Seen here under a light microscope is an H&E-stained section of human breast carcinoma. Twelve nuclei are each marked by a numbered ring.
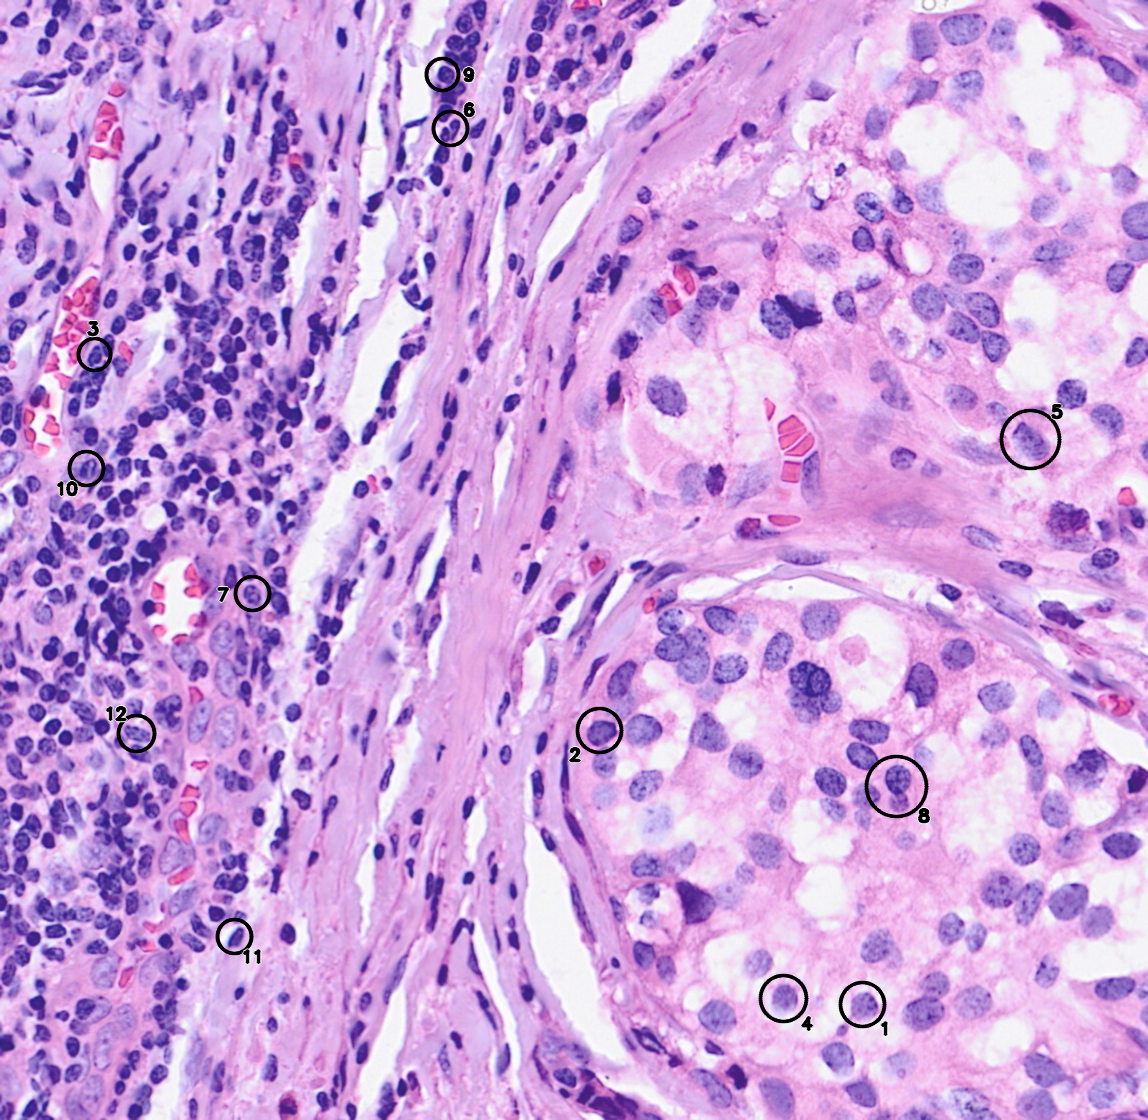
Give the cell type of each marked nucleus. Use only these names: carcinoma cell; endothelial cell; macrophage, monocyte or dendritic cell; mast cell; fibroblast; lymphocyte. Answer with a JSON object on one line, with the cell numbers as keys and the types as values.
{"1": "carcinoma cell", "2": "carcinoma cell", "3": "lymphocyte", "4": "carcinoma cell", "5": "carcinoma cell", "6": "lymphocyte", "7": "lymphocyte", "8": "carcinoma cell", "9": "lymphocyte", "10": "lymphocyte", "11": "lymphocyte", "12": "lymphocyte"}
